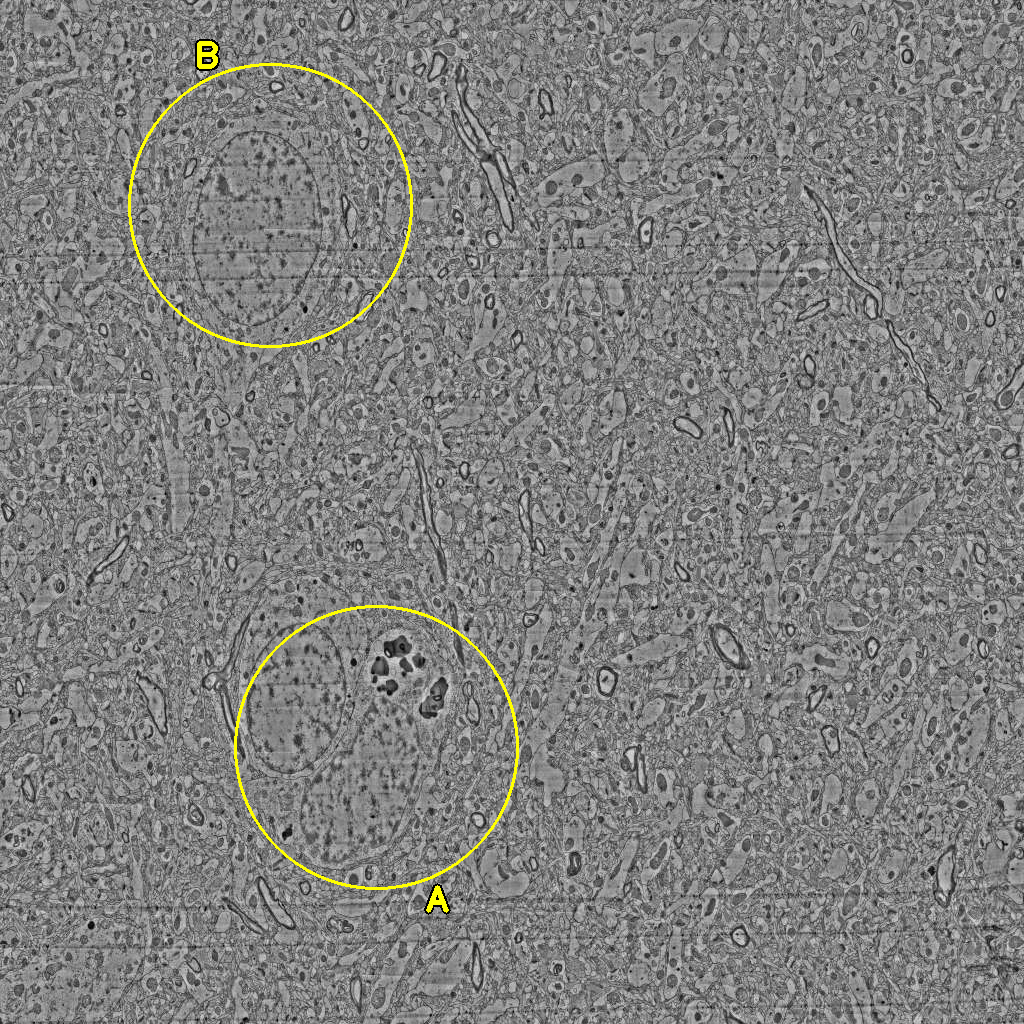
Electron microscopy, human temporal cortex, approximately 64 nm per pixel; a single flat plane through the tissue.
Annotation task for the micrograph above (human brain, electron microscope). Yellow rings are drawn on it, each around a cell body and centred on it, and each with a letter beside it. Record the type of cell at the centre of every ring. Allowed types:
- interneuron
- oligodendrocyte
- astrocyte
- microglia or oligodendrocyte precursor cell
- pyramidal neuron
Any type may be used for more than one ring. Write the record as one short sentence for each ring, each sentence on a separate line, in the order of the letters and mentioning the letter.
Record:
The cell centred in ring A is an interneuron.
The cell centred in ring B is a pyramidal neuron.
